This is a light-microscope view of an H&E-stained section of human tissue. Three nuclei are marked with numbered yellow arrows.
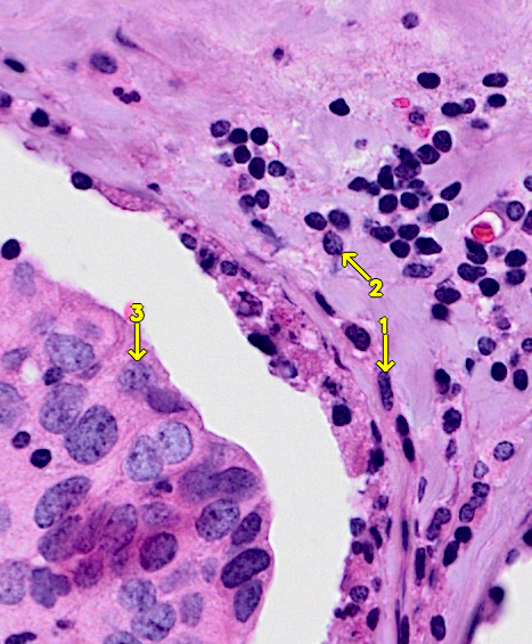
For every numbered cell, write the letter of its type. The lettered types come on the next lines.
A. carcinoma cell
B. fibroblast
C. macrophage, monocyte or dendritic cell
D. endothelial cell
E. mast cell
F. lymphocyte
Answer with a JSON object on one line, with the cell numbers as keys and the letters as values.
{"1": "E", "2": "F", "3": "A"}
